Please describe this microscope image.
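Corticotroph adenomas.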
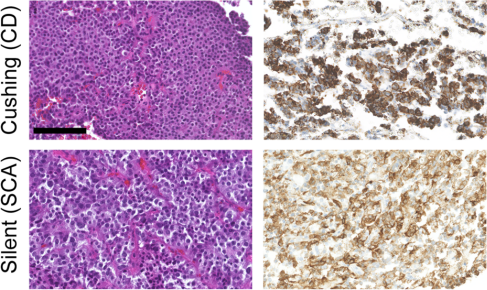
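In the pink-purple stained images, sheets of closely packed tumour cells lie in a diffuse, solid pattern with round dark nuclei, interrupted only by thin pink fibrovascular strands. The staining in the upper image is dense and clumped, with some unstained gaps in between. In the lower image the brown stain is more even and diffuse across a solid sheet of cells. No normal glandular architecture is seen.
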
